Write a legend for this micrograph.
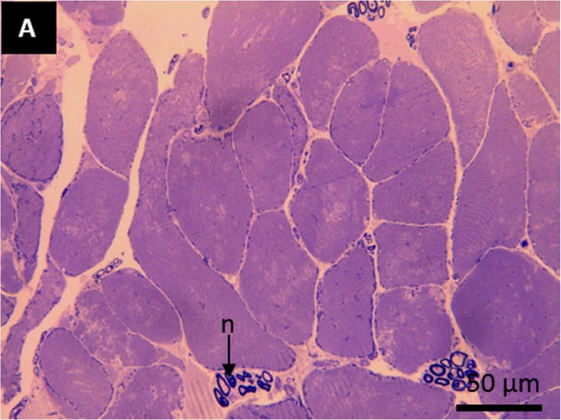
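Cross-sectioned skeletal muscle fibers appear as large polygonal to rounded purple profiles packed closely together and separated by thin pale connective tissue. Fine deep blue dots line the periphery of many fibers, and at the lower edge small bundles of myelinated nerve fibers appear as dark-ringed circles between the muscle fibers.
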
